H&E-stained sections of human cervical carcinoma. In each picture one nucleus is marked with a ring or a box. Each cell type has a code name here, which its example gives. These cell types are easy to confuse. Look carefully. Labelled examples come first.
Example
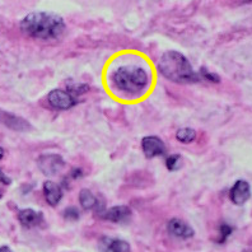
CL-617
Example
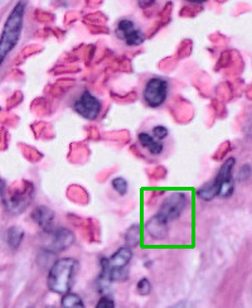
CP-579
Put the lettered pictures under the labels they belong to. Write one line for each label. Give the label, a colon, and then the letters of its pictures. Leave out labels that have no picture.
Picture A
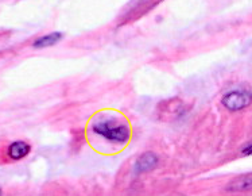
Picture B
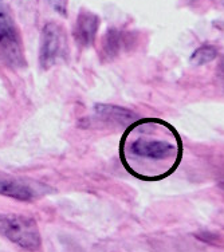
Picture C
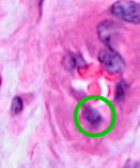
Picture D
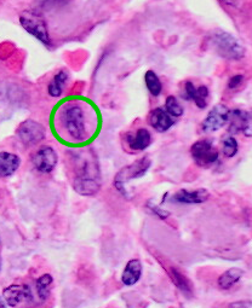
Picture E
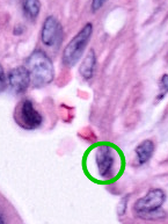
CL-617: A, B
CP-579: C, D, E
